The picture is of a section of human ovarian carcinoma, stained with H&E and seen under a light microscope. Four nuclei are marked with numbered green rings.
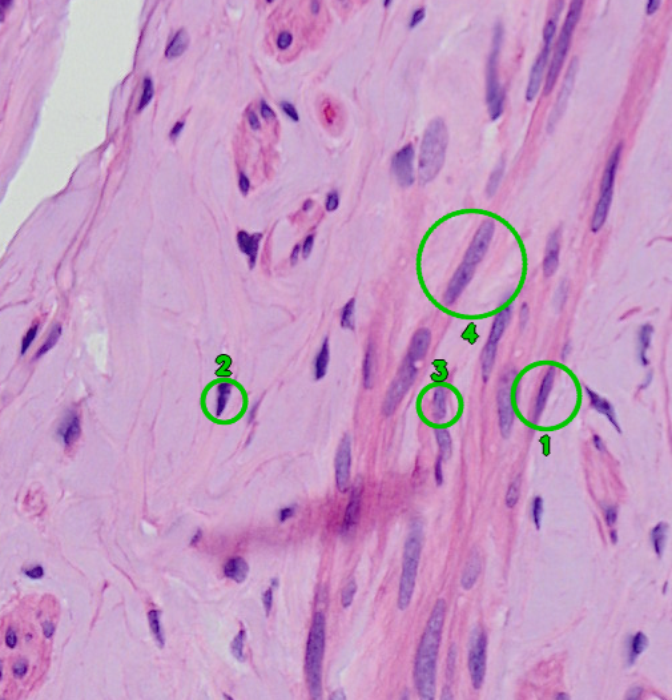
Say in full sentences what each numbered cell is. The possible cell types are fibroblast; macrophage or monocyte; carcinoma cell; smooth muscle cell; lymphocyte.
Cells 1, 3 and 4 are smooth muscle cells. Cell 2 is a fibroblast.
